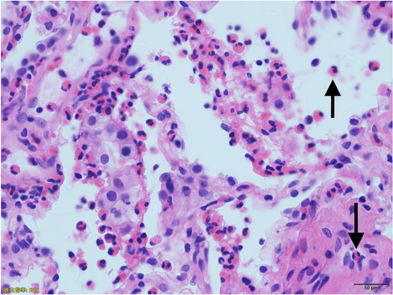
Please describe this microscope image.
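This is lung tissue with thickened alveolar walls and alveolar spaces filled with inflammatory cells, mainly eosinophils. The free cells in the air spaces are small and round, with bright red cytoplasm and dark, lobed nuclei. Similar red cells also lie within the widened interstitium. The septa contain spindle-shaped nuclei and pink fibrous material, indicating interstitial thickening, and some larger cells with more abundant pale cytoplasm and round nuclei are present along the septa and in the spaces. The alveolar architecture is still recognisable but distorted by the inflammatory infiltrate.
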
